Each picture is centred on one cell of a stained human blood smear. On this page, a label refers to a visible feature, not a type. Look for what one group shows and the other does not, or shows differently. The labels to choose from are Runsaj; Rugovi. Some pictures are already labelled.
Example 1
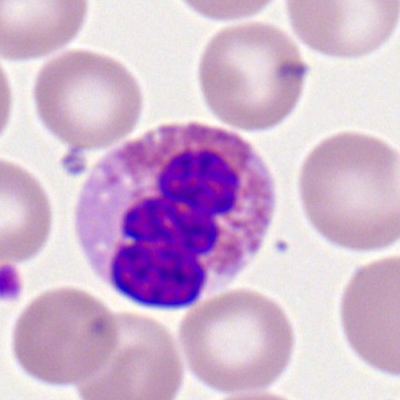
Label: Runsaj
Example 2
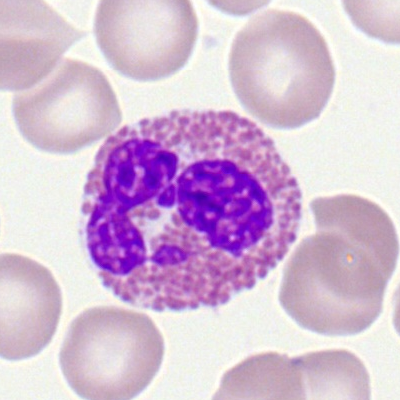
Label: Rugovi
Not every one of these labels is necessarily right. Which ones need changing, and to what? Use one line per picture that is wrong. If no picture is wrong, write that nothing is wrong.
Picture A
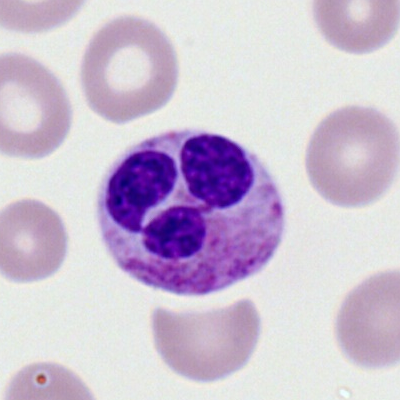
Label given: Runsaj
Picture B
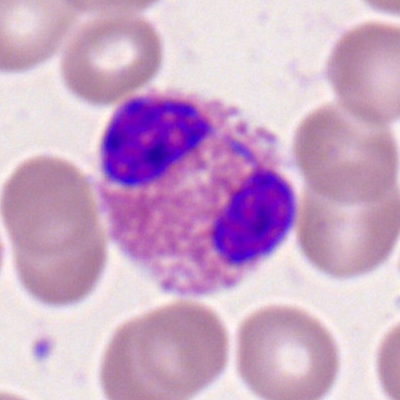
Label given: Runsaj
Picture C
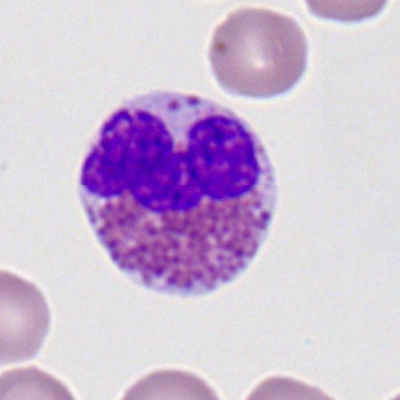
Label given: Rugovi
Wrong: B (Runsaj); correct: Rugovi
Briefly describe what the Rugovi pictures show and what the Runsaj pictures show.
Rugovi, coarse or large granules; Runsaj, fine or small granules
